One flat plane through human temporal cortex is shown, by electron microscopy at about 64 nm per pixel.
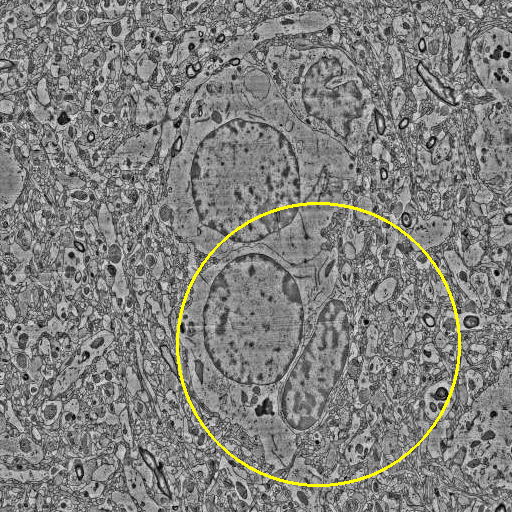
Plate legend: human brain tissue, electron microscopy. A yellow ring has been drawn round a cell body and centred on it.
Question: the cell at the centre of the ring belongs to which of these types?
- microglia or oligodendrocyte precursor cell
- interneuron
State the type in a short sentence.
The cell in the middle of the ring is a microglial cell or oligodendrocyte precursor cell.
